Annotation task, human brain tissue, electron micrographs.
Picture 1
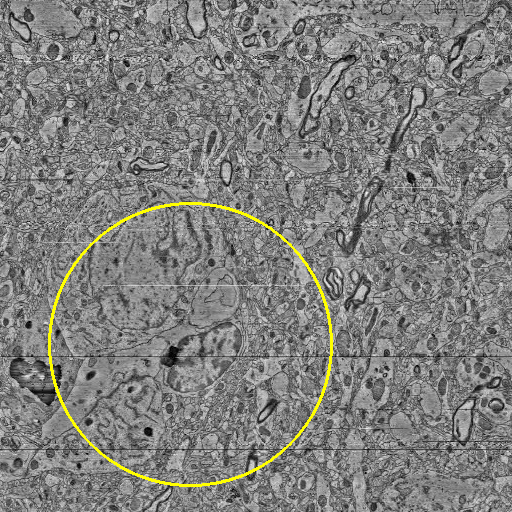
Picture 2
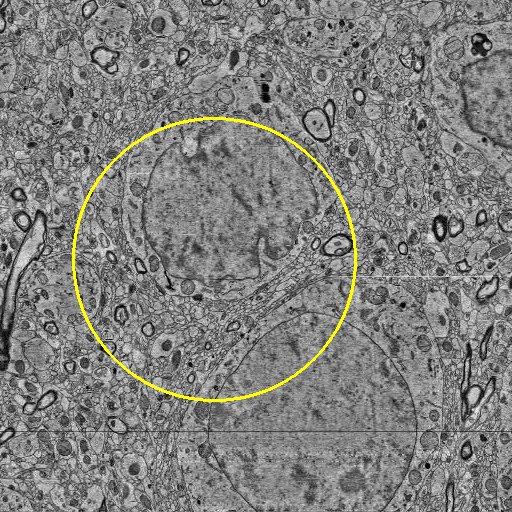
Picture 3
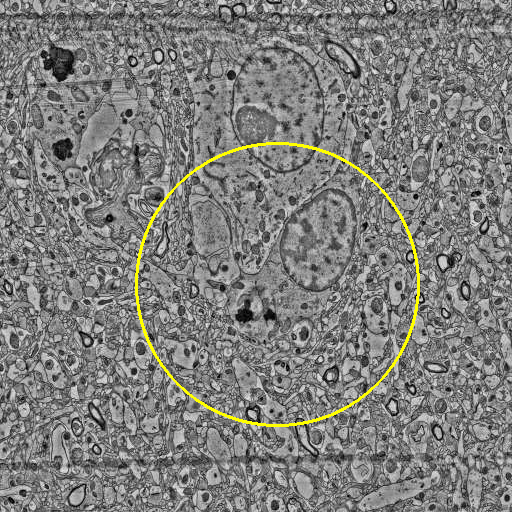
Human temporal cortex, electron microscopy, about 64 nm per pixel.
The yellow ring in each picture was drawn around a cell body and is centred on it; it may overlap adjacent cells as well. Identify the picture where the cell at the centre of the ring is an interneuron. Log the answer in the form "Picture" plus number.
Picture 2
